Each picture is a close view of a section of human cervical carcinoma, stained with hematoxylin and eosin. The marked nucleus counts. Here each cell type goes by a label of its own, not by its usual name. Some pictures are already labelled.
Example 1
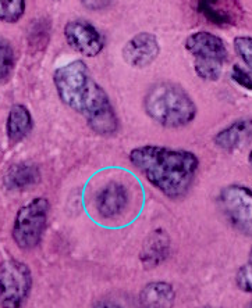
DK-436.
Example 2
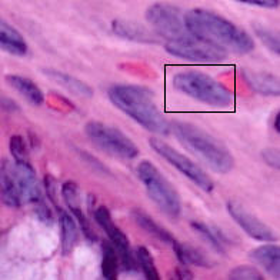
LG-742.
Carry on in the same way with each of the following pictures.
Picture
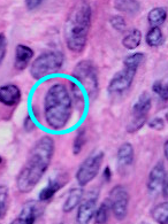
LG-742.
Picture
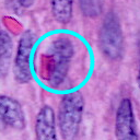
LG-742.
